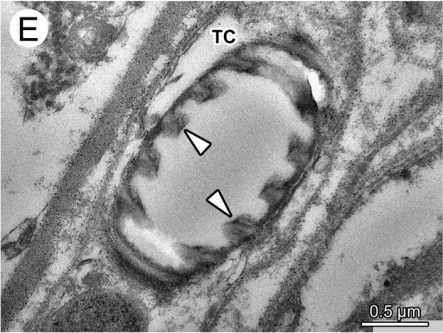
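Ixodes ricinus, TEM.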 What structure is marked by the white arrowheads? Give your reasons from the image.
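Taenidia. Dark projections jut from the wall of a small tube into its pale lumen.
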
